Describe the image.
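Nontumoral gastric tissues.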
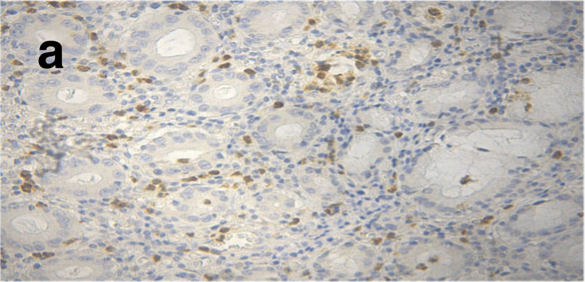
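The glands appear as round and oval profiles lined by a single layer of pale columnar epithelial cells with small blue nuclei at their bases and clear, mucus-filled lumens. Between the glands, the lamina propria holds many blue nuclei of stromal and inflammatory cells. The small brown cells are dotted through this stroma and a few lie at the edges of the glands.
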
